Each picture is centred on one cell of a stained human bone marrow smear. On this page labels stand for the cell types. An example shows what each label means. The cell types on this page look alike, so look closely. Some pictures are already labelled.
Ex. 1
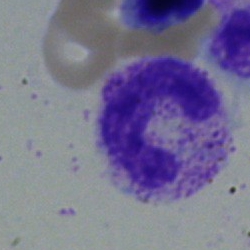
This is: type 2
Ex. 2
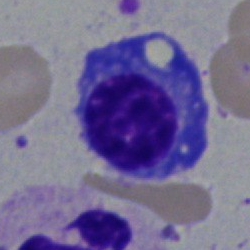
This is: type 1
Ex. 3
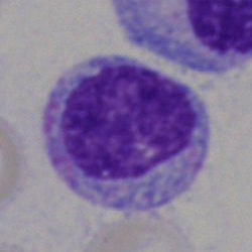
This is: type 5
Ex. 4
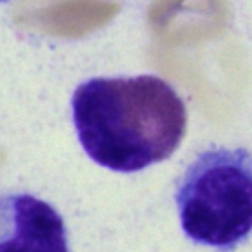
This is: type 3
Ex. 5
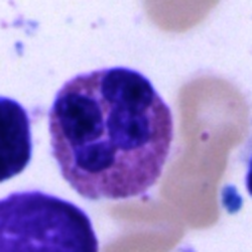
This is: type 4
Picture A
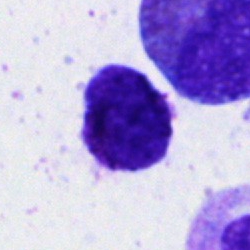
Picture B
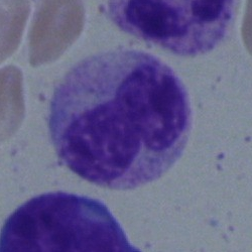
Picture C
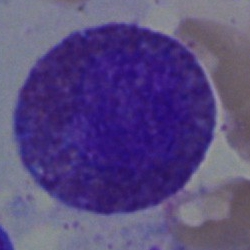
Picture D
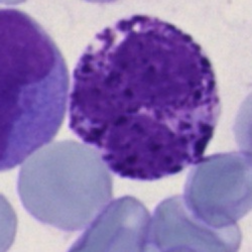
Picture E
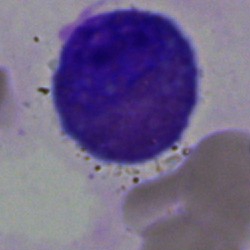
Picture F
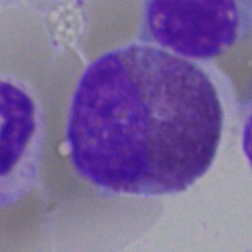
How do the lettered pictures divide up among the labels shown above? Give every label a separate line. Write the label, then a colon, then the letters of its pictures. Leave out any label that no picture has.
type 2: B
type 3: A, D
type 4: C, E, F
